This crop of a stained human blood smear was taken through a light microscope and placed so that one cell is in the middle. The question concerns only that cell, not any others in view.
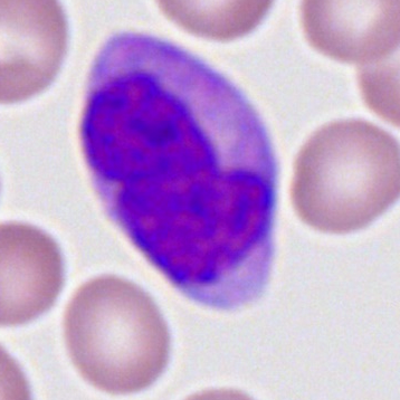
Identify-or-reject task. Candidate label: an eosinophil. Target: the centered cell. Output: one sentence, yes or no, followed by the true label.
No, the central cell is identified not as an eosinophil but as a monocyte.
